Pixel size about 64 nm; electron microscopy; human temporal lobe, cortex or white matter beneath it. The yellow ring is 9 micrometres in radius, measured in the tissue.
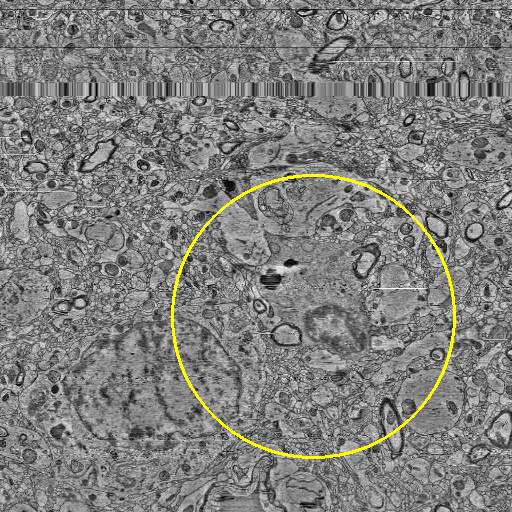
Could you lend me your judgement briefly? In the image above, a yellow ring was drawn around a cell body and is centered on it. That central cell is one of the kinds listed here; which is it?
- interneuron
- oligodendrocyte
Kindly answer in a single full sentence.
Going by the list, an oligodendrocyte is the kind at the ring's center in the picture.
